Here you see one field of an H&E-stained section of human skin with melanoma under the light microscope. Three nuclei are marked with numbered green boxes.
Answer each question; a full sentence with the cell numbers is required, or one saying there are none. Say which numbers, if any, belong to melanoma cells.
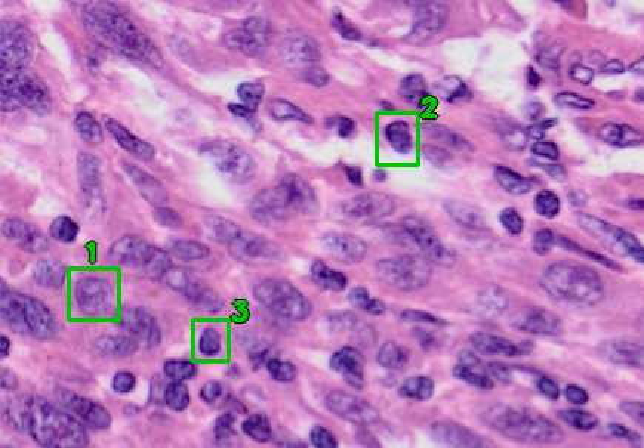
Of the numbered nuclei, only the one labelled 1 belongs to a melanoma cell.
